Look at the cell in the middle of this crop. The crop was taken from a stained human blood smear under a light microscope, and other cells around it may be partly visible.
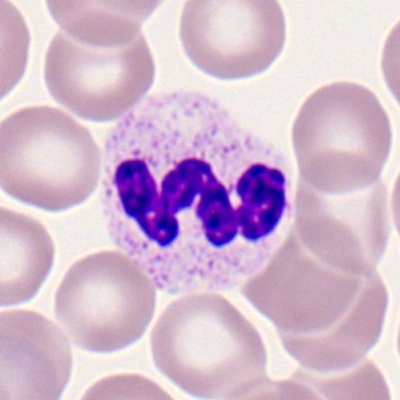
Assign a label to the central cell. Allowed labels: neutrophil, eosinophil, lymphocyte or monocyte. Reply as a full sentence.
The cell found in the middle of this crop is a neutrophil.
